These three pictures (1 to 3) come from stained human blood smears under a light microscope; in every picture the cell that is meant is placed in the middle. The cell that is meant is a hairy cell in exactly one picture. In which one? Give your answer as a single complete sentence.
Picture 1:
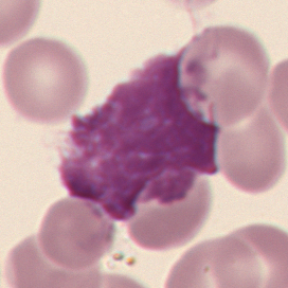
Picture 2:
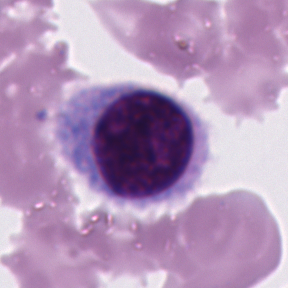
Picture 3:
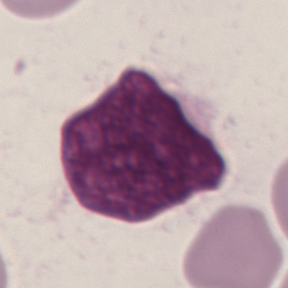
The cell in picture 2 is the hairy cell.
